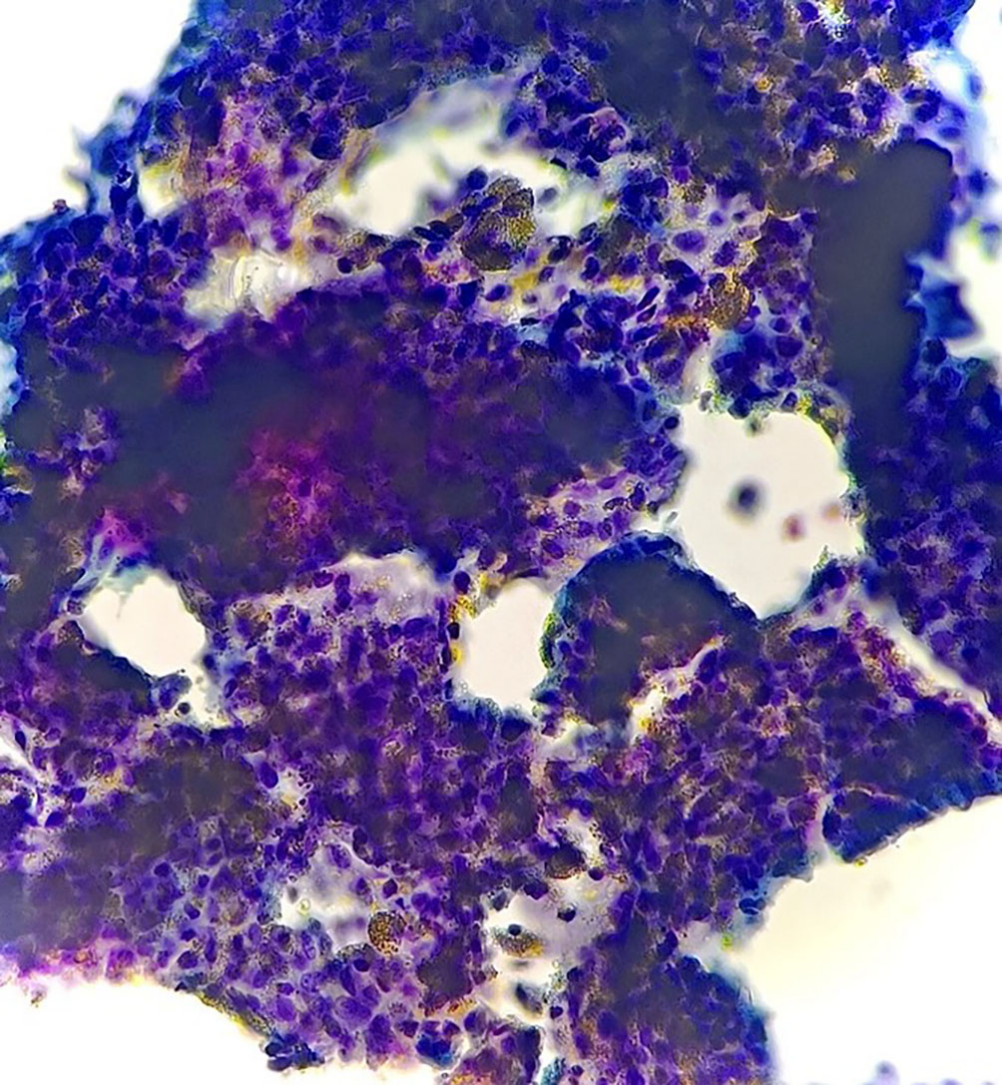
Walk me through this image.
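A thick, cellular smear shows crowded clusters of cells with round to oval, dark blue-purple nuclei. Some areas are so thick that the cells overlap into dark masses, while clear spaces lie between the cell groups. These pigment-laden cells are macrophages containing dark brown pigment.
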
